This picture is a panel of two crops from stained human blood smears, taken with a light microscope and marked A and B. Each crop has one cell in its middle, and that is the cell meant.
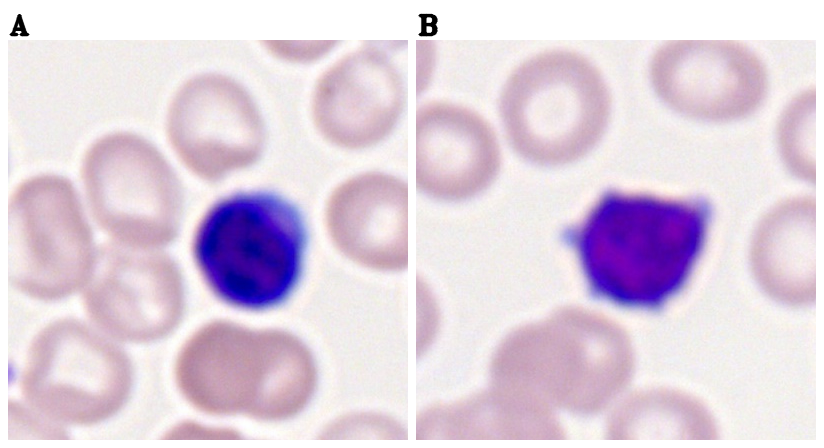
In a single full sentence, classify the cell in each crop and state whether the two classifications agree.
Yes, with regard to both crops, the central cells are lymphocytes.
